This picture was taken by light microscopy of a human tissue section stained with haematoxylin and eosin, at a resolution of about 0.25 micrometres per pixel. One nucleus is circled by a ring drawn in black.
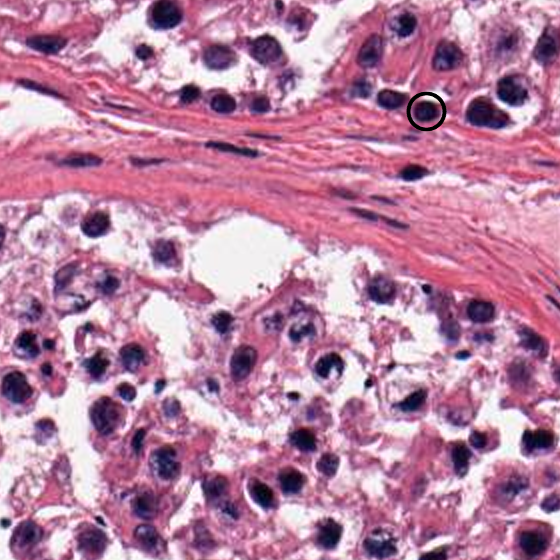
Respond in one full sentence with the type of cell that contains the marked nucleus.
On this slide, the marked nucleus belongs to a spermatogonium.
